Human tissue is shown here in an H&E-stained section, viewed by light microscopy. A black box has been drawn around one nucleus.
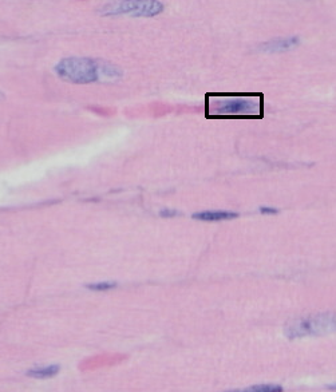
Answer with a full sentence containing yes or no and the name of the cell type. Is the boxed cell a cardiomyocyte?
No, that is wrong: the boxed cell is an endothelial cell, not a cardiomyocyte.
